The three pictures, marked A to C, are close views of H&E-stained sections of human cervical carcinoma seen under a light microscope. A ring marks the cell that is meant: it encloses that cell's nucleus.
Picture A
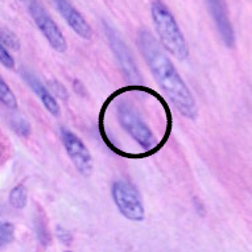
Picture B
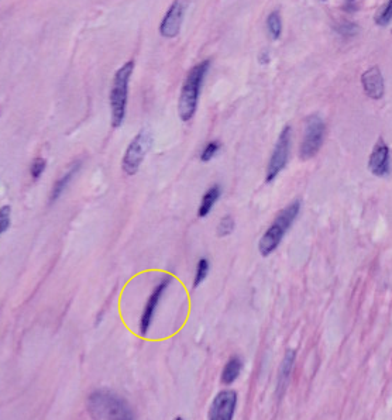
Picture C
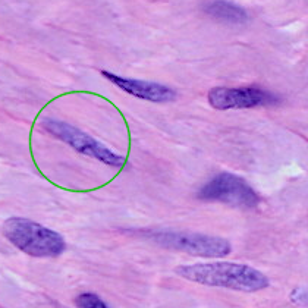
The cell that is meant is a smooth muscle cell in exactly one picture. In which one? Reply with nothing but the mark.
A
